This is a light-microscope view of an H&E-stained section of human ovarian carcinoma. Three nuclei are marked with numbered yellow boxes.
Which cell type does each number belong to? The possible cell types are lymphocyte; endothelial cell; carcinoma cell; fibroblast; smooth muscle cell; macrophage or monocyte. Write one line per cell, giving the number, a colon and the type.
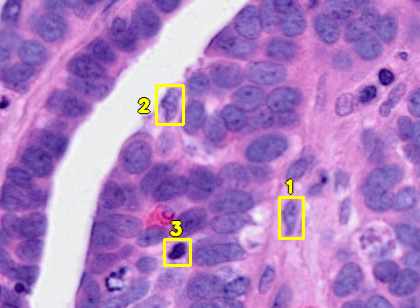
1: fibroblast
2: macrophage or monocyte
3: lymphocyte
